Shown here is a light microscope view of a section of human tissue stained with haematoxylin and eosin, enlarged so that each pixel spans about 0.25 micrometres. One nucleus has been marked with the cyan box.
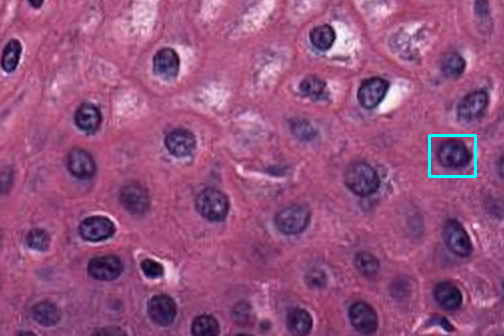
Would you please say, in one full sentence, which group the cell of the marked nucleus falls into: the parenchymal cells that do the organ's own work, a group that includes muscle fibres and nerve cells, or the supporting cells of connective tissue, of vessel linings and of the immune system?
The cell to which the marked nucleus belongs is a squamous epithelial cell, a parenchymal cell.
